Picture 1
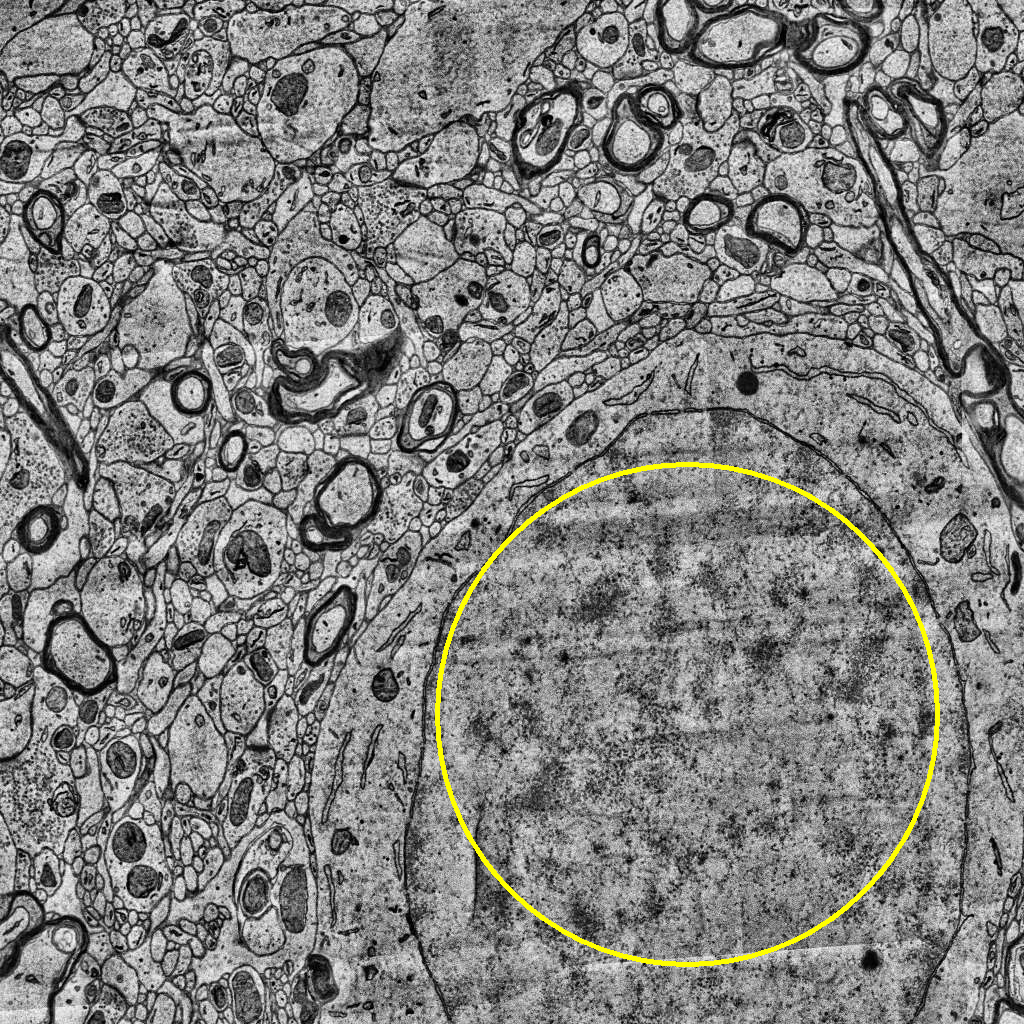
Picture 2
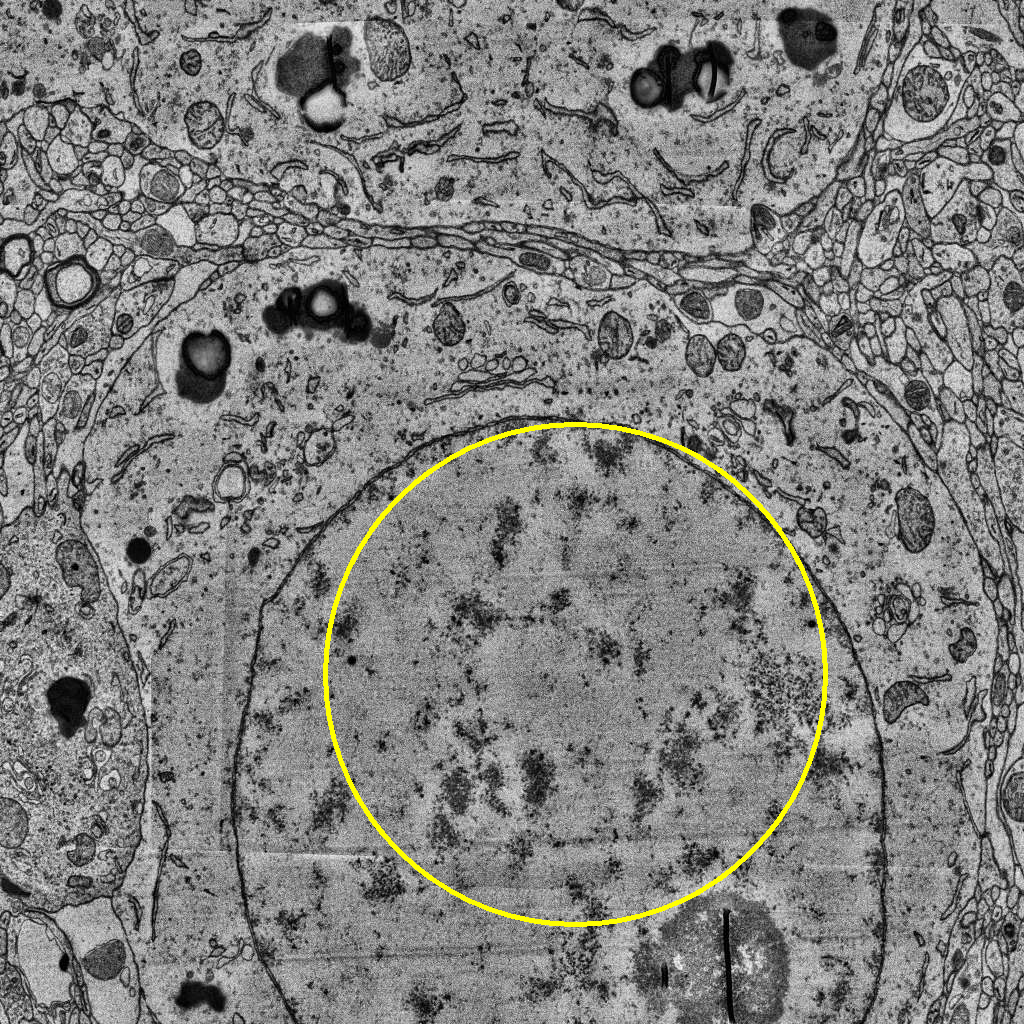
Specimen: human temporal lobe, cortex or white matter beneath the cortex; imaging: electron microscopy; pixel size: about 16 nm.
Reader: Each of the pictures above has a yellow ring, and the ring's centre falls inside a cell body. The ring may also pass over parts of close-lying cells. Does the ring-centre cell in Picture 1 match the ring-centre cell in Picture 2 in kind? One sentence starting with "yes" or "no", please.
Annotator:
Yes, Picture 1 and Picture 2 show ring-centre cells of a single kind.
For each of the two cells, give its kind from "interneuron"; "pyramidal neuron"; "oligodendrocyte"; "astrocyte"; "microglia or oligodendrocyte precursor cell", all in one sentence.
Each cell at the centre of a ring is a pyramidal neuron.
